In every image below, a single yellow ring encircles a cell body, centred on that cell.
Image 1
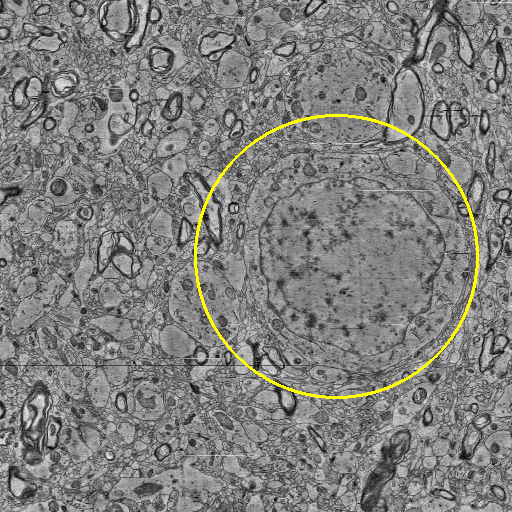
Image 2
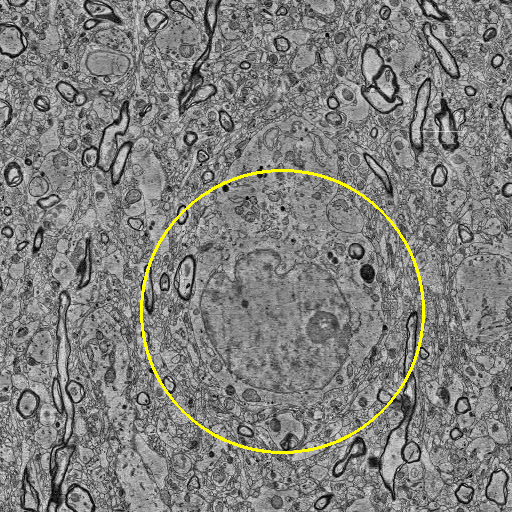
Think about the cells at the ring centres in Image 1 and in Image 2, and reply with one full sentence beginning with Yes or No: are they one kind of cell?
Yes, the cells centred in the rings of Image 1 and Image 2 are one kind of cell.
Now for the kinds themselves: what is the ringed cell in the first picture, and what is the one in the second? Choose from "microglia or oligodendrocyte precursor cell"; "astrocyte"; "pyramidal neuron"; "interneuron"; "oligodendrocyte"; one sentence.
The ring centre holds an interneuron in each of the two pictures.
